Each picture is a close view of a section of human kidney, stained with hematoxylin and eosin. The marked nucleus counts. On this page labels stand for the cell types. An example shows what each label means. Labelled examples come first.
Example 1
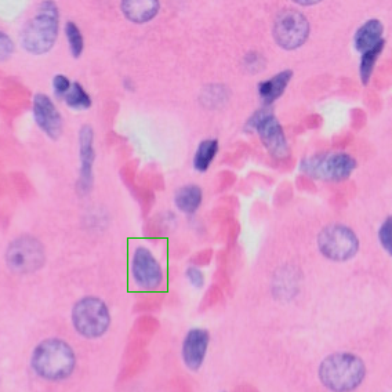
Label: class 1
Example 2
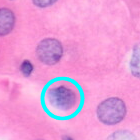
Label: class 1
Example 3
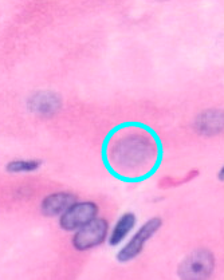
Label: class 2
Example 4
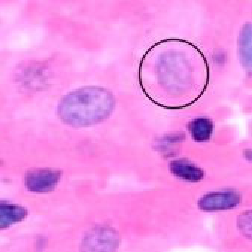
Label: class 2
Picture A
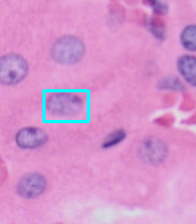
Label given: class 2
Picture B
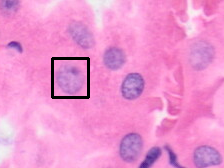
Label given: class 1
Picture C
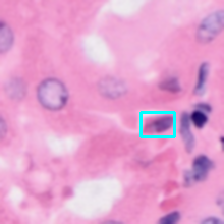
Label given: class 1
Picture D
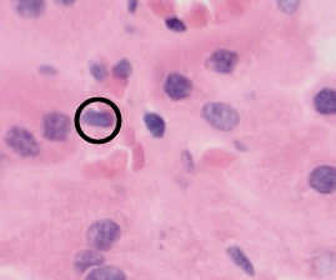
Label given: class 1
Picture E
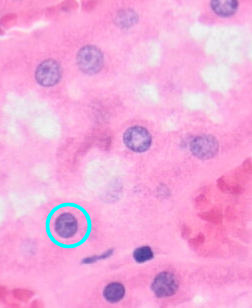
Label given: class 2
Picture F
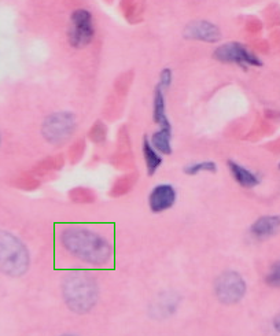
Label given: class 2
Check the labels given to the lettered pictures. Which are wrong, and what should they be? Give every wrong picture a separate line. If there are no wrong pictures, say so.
B: class 2, not class 1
